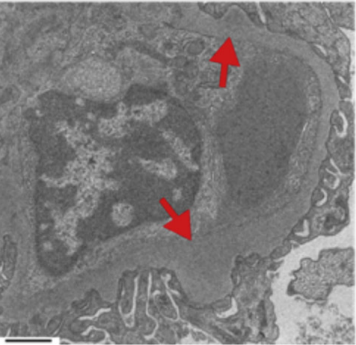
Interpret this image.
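A glomerular capillary loop is seen at high magnification, with a cell containing a large nucleus of clumped dark chromatin filling much of the lumen. The basement membrane surrounding the capillary forms a broad grey band whose width varies from place to place, marked by red arrows.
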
